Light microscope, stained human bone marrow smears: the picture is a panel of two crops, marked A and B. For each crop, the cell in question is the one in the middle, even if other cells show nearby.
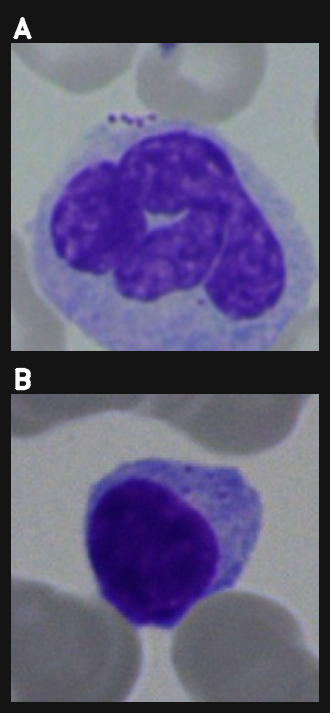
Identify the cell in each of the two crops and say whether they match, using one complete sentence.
No, in this case crop A shows a monocyte, and crop B shows a lymphocyte.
